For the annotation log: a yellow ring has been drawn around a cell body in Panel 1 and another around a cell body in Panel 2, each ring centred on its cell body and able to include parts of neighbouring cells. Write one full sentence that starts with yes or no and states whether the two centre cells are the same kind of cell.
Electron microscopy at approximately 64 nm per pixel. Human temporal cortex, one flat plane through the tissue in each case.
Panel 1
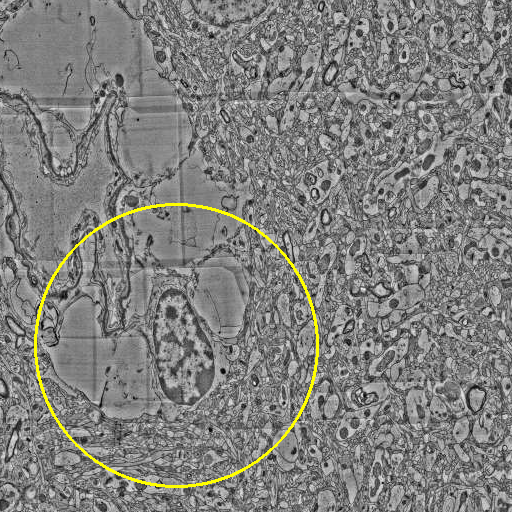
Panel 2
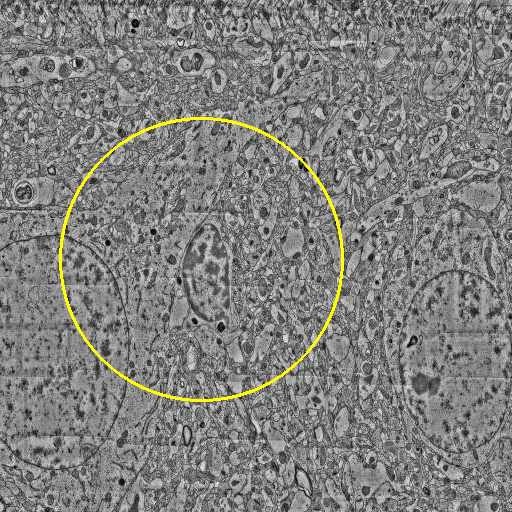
Yes, the two centre cells are the same kind of cell.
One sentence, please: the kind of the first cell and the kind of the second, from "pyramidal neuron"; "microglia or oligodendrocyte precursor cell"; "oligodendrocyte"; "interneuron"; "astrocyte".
Each of the two cells is a microglial cell or oligodendrocyte precursor cell.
